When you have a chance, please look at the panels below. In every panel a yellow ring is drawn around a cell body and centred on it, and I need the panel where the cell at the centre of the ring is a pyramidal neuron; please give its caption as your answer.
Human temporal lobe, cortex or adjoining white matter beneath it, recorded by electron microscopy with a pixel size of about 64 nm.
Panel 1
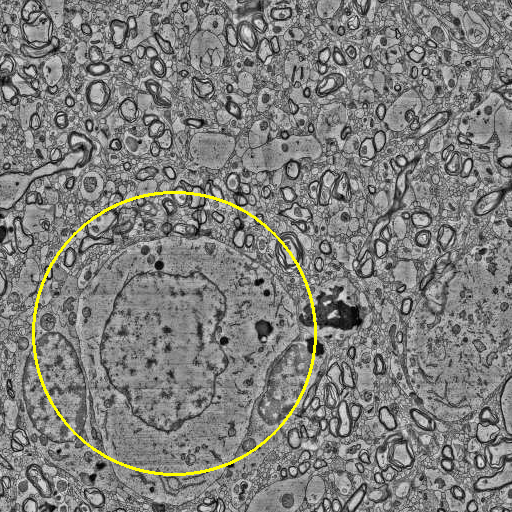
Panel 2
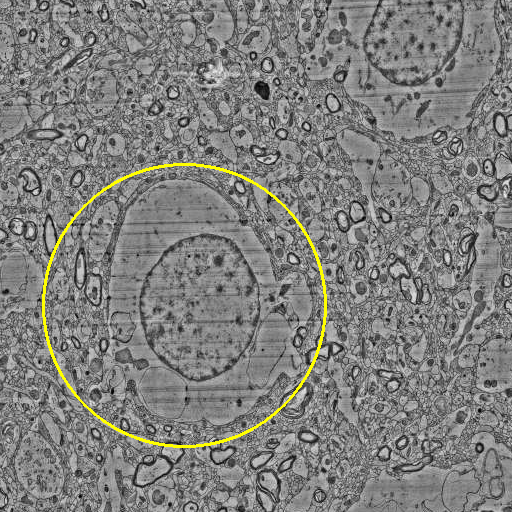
Panel 1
